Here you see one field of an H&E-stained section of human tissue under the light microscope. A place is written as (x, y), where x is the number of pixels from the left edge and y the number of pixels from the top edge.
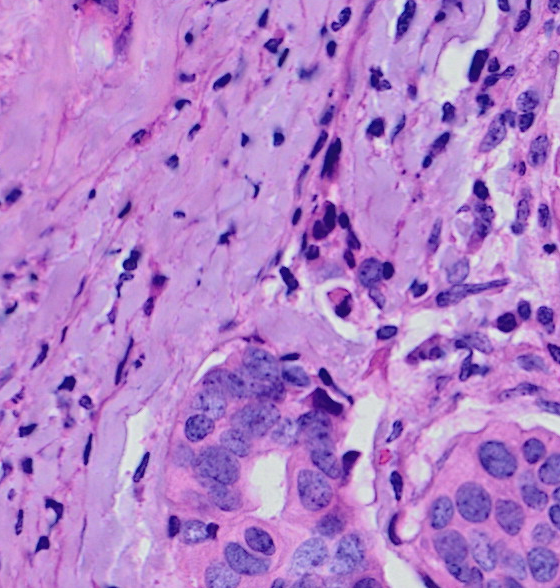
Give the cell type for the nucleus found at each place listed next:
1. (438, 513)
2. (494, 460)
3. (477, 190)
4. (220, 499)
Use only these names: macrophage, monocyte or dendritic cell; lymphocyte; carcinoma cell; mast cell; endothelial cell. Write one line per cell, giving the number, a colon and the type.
1: carcinoma cell
2: carcinoma cell
3: lymphocyte
4: carcinoma cell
